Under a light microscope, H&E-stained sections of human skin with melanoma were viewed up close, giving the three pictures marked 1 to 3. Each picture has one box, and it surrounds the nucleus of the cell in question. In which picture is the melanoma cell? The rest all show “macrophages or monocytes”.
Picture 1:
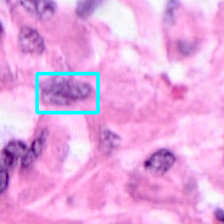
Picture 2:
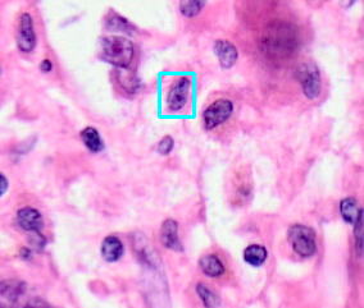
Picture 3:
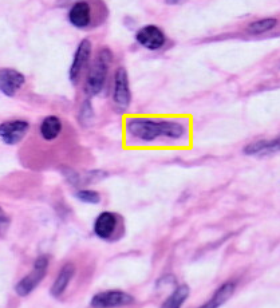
1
